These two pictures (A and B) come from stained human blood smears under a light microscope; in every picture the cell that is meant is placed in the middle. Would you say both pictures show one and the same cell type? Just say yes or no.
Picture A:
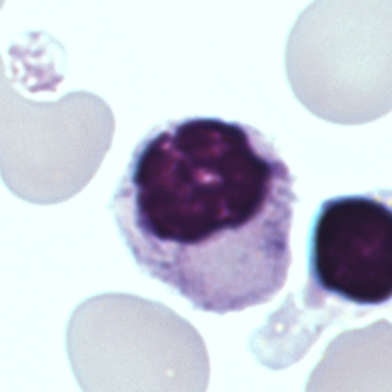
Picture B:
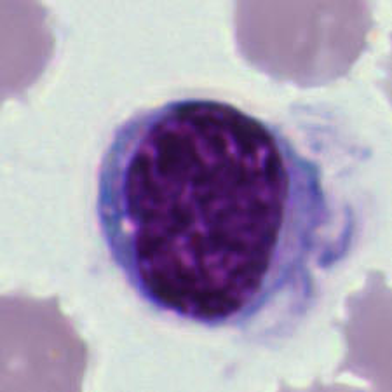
no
